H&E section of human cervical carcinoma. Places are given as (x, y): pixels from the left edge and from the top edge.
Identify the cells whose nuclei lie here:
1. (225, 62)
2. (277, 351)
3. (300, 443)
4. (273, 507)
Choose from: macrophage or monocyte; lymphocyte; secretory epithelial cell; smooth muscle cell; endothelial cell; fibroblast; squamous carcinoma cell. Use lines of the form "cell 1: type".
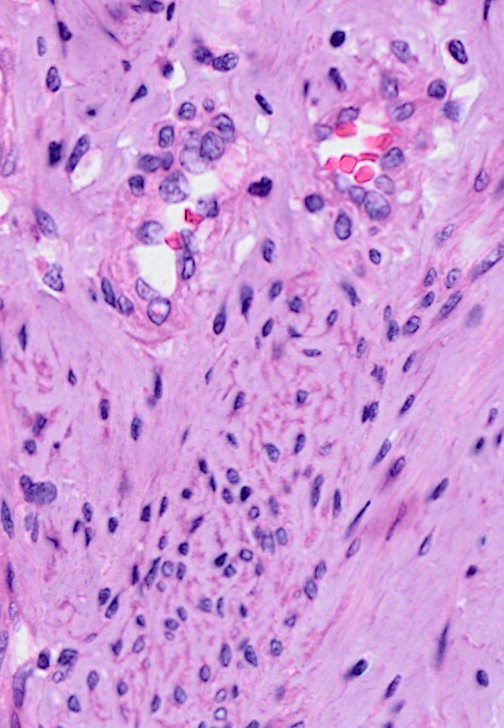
cell 1: lymphocyte
cell 2: smooth muscle cell
cell 3: smooth muscle cell
cell 4: smooth muscle cell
